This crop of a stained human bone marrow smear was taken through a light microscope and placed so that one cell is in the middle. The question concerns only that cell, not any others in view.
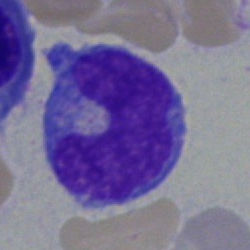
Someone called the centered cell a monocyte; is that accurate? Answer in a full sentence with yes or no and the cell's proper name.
Yes, the cell of interest in the centre is a monocyte.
